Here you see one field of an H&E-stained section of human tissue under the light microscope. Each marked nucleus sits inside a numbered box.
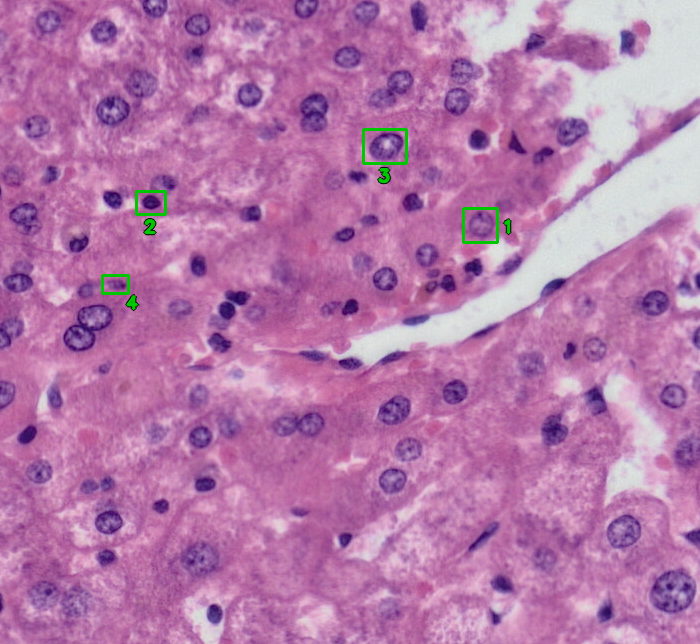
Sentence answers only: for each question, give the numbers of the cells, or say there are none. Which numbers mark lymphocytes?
Of all the cells bearing numbers, cell 2 is the only one that is a lymphocyte.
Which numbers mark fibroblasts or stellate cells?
Cell 4 is a fibroblast or stellate cell, whereas each of the other numbered cells is not.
